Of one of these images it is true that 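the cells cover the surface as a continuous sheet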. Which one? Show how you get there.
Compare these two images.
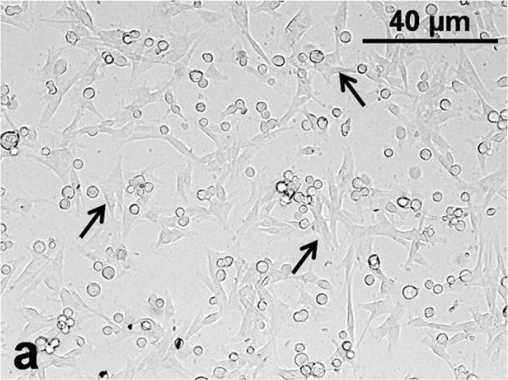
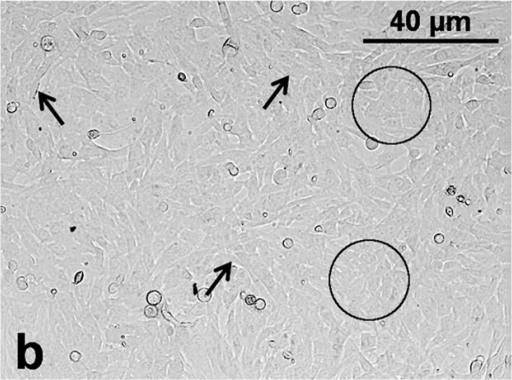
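Second image: flat cells fill nearly the whole field without gaps. First image: spread cells are separated by open spaces with many round cells scattered between them. On this evidence: the second image.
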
